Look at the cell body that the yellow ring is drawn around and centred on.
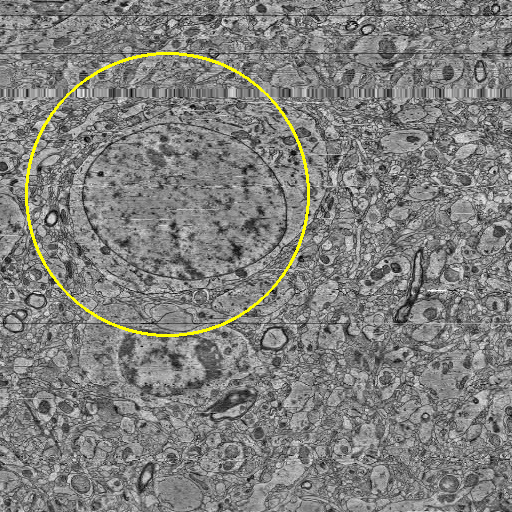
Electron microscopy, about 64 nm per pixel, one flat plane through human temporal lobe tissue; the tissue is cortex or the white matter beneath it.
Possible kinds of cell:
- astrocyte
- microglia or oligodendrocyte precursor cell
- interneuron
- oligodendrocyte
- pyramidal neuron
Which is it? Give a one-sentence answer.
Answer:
The centred cell body is that of a pyramidal neuron.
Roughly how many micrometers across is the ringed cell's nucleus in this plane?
The nucleus measures about 13 by 10 micrometres in this plane.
